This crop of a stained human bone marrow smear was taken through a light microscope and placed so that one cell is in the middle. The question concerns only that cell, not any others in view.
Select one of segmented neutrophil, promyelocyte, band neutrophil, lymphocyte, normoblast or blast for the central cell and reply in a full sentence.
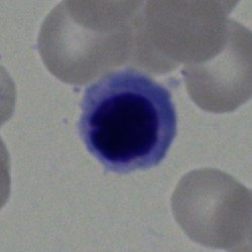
This particular crop is centered on a normoblast.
